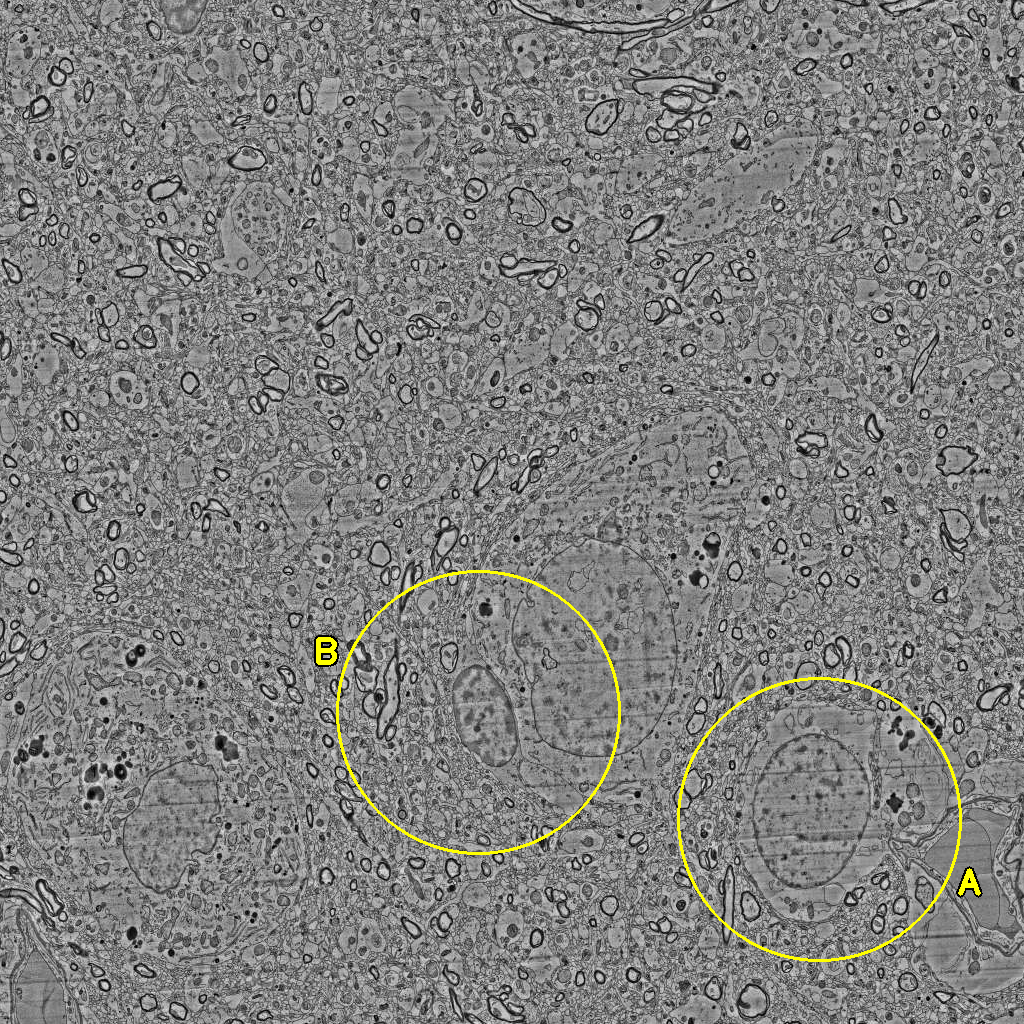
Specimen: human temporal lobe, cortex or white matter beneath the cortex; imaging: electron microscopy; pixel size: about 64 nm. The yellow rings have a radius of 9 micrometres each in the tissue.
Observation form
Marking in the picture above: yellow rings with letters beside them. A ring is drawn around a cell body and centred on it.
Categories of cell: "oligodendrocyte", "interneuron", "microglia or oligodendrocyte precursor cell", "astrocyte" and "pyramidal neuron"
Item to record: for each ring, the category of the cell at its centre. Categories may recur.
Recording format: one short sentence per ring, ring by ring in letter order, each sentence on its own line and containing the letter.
Ring A is placed on an astrocyte.
Ring B is placed on an oligodendrocyte.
